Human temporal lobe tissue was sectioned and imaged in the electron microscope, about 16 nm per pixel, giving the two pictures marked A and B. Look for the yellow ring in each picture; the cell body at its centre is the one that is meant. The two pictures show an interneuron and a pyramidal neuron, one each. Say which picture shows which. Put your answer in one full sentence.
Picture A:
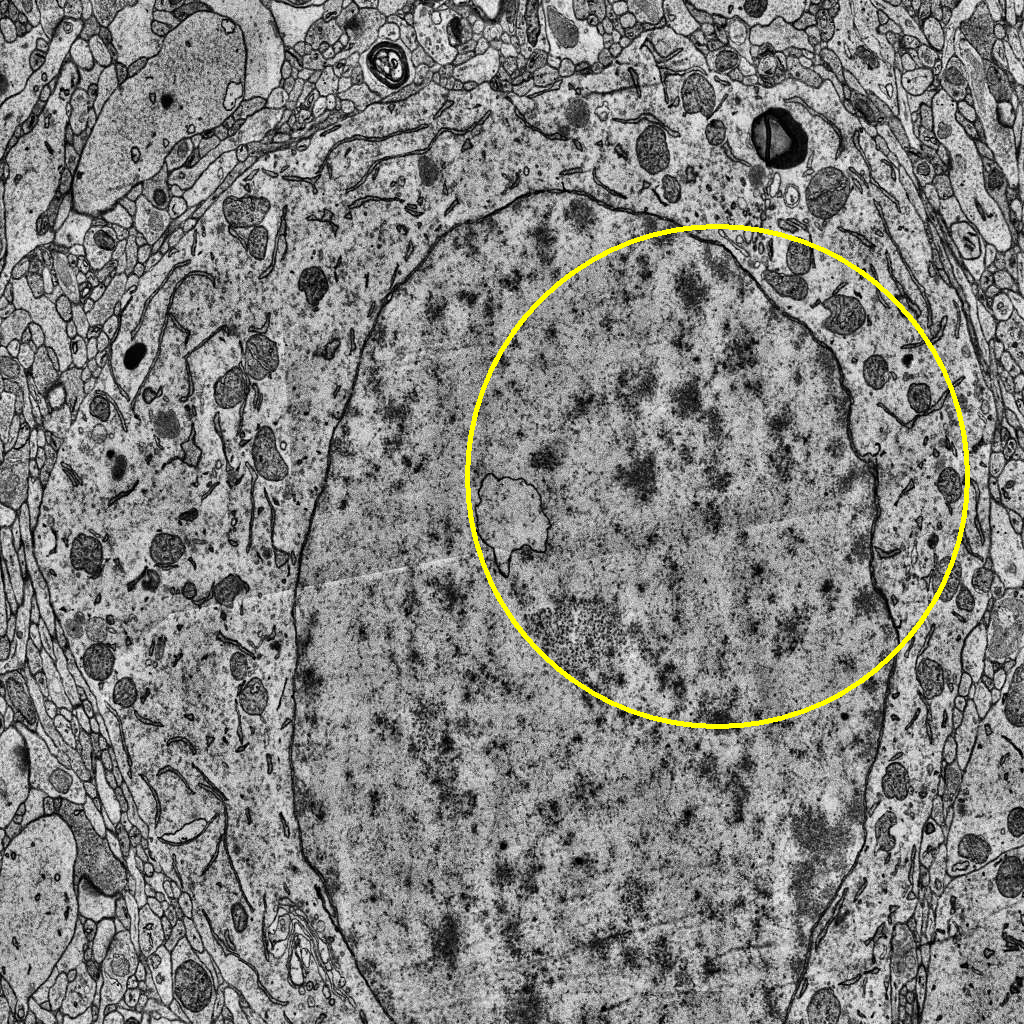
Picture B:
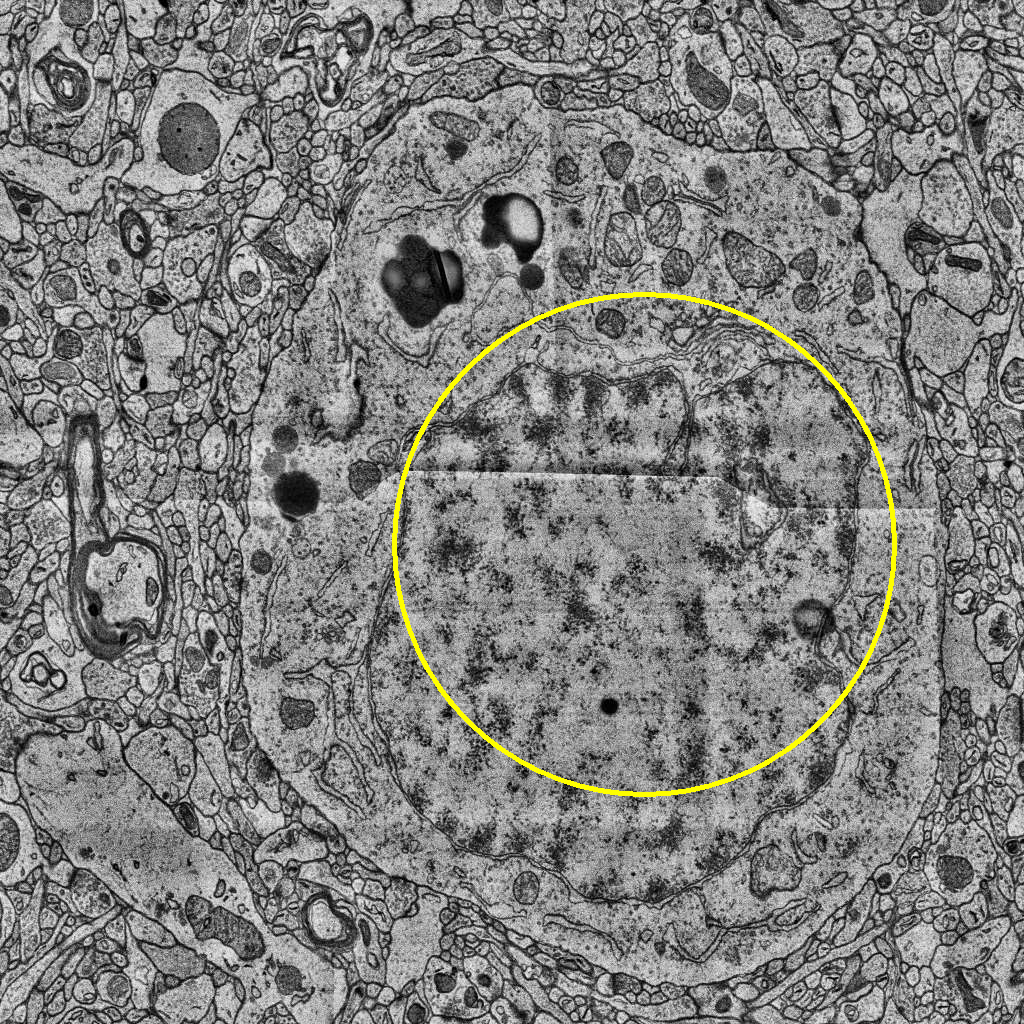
It is picture A that shows a pyramidal neuron, and picture B that shows an interneuron.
